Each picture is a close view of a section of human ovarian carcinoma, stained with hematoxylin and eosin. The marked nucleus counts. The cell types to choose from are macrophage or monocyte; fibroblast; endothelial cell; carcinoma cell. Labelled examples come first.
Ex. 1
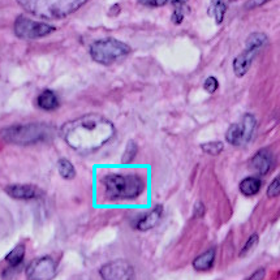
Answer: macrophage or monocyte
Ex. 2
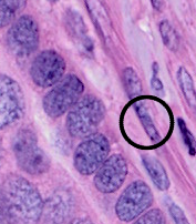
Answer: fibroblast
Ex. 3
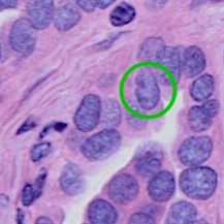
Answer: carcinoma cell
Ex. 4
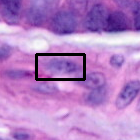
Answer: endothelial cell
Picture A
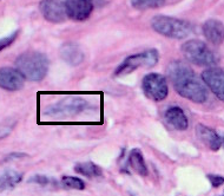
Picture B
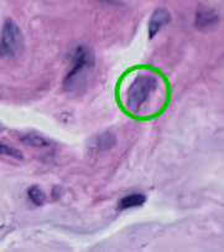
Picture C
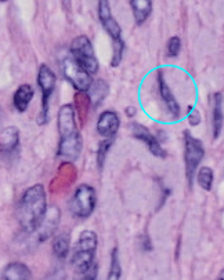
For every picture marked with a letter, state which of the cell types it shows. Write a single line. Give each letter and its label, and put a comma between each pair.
A fibroblast, B endothelial cell, C fibroblast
